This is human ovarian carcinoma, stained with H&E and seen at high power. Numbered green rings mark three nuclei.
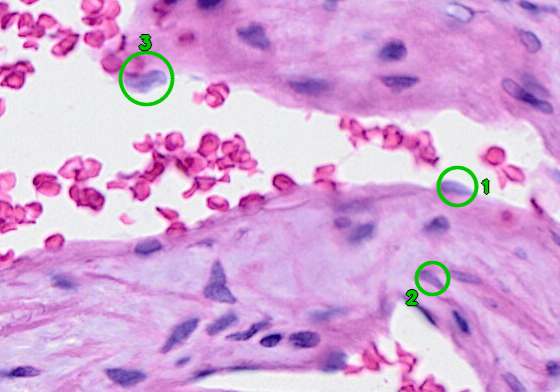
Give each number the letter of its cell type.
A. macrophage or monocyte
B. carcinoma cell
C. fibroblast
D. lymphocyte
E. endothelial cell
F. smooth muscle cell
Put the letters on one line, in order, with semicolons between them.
E; F; E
